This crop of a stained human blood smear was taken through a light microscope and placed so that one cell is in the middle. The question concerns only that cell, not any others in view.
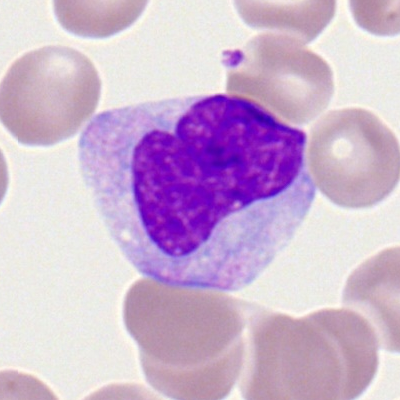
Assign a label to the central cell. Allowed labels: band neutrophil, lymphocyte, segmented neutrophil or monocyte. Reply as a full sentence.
In the middle of this smear crop is a monocyte.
